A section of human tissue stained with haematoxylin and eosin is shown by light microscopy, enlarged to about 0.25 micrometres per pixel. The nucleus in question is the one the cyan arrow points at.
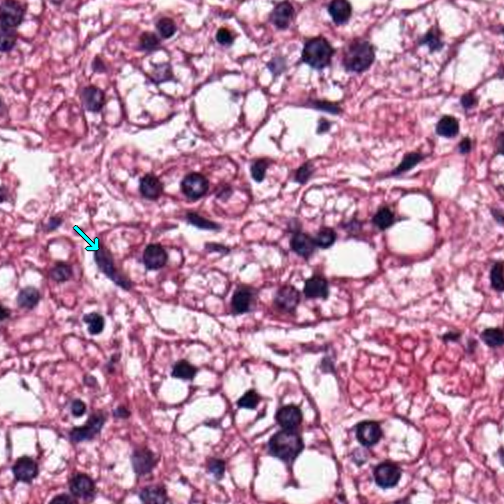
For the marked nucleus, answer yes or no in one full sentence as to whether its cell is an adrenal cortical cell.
No, the marked nucleus forms part of a supporting cell instead of an adrenal cortical cell.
